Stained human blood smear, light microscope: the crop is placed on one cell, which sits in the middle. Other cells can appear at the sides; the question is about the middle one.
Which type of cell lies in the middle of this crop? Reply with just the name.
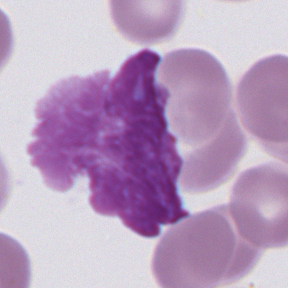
smudge cell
